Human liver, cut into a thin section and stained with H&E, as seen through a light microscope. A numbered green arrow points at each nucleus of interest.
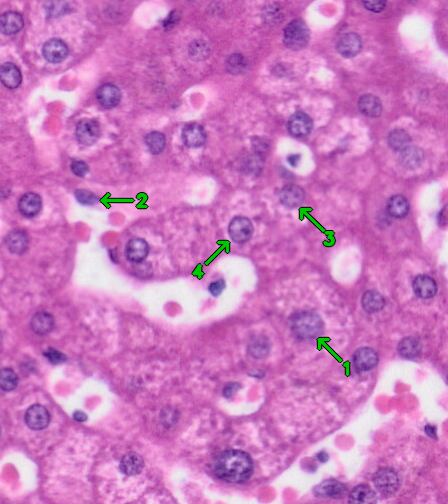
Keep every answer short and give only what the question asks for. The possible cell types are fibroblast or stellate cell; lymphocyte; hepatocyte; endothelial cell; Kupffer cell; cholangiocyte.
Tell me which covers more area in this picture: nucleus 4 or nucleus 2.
4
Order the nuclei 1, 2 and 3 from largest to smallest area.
1, 3, 2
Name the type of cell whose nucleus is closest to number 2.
fibroblast or stellate cell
